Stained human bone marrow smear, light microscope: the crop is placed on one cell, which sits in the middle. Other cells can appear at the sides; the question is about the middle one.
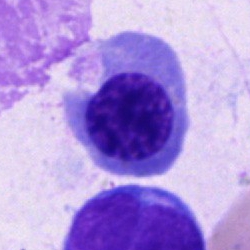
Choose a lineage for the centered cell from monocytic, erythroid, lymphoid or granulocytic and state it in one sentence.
The cell situated centrally in the crop is of the erythroid lineage.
